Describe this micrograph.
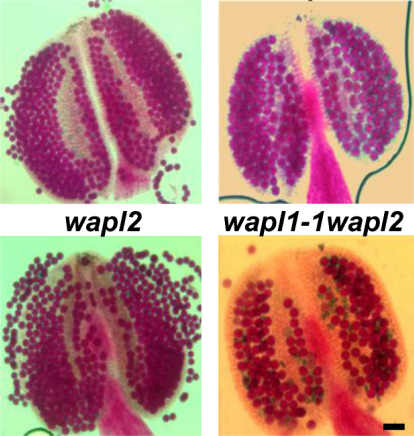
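Four anthers are shown, each with two lobes packed with round pollen grains on either side of a pale central connective. In the lower right anther the grains stain darker red and fewer fill the lobes, and scattered among them are several small greenish grains that lack the magenta content. A pink stalk of filament tissue runs up into the base of each anther.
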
